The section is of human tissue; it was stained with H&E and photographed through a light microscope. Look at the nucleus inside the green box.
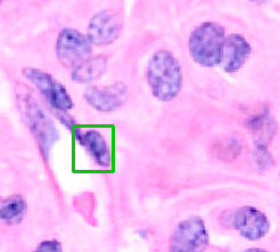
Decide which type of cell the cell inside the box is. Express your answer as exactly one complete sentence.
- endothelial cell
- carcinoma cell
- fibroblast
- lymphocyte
Among the cells in this section, the cell inside the box is an endothelial cell.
